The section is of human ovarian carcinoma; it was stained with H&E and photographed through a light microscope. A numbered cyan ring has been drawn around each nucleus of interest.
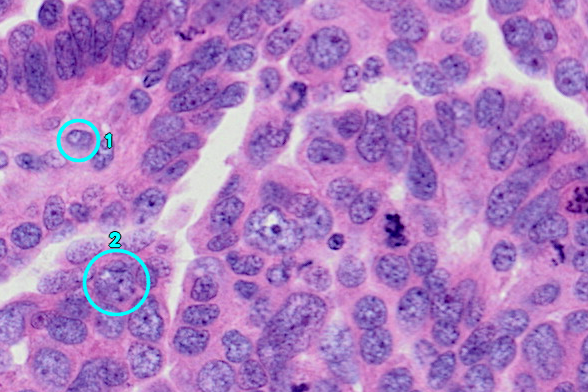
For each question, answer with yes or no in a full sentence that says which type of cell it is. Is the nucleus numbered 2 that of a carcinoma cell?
Yes, looking at number 2, that cell is a carcinoma cell.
